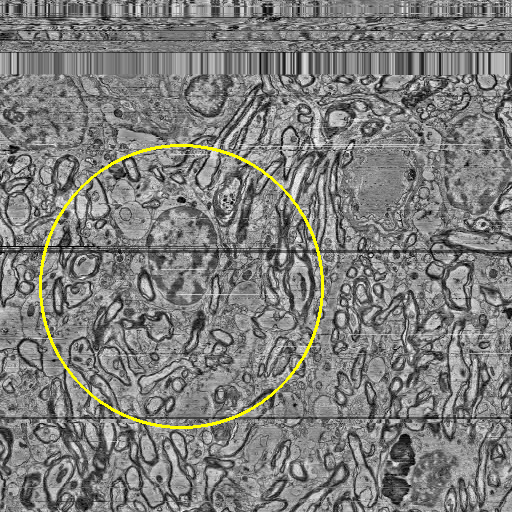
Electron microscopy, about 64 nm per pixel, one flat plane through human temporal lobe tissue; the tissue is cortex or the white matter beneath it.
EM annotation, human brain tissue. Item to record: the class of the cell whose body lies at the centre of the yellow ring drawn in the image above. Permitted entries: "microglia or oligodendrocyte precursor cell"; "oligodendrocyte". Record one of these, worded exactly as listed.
microglia or oligodendrocyte precursor cell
